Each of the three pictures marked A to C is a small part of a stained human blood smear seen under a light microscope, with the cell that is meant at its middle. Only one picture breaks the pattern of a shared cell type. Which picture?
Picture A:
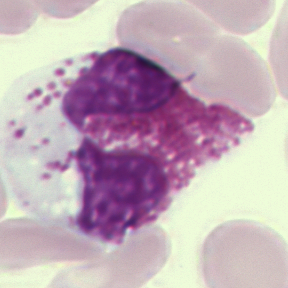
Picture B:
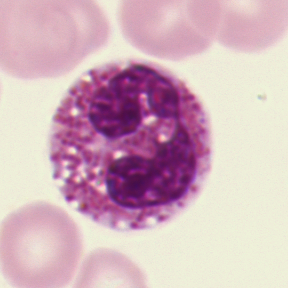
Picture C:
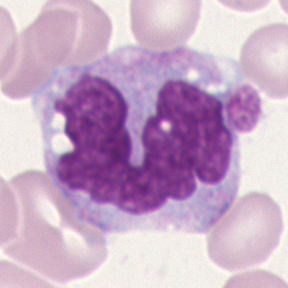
C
